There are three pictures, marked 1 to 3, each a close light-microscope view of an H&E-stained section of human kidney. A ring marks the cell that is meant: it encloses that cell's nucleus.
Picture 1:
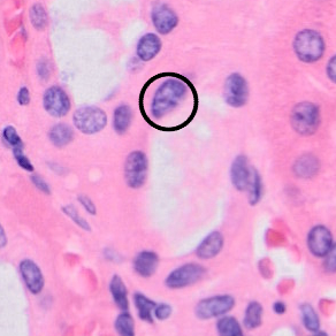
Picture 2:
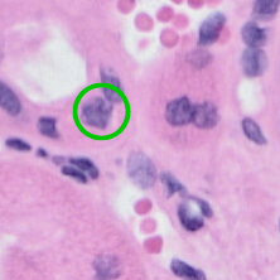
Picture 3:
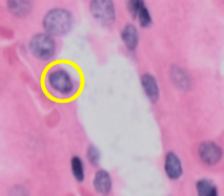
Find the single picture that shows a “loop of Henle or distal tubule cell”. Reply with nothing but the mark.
3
